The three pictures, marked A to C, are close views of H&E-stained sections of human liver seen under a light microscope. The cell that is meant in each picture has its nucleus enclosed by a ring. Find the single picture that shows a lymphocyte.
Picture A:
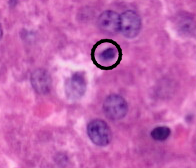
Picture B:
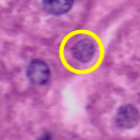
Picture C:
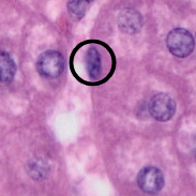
A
